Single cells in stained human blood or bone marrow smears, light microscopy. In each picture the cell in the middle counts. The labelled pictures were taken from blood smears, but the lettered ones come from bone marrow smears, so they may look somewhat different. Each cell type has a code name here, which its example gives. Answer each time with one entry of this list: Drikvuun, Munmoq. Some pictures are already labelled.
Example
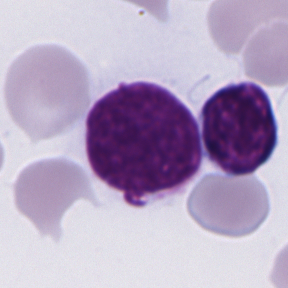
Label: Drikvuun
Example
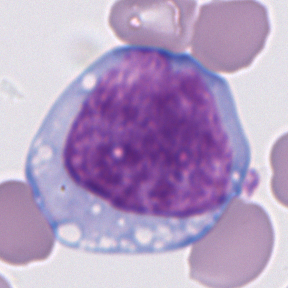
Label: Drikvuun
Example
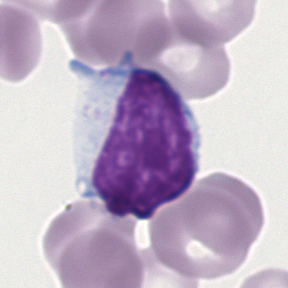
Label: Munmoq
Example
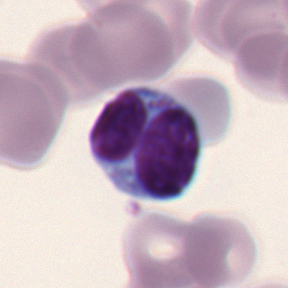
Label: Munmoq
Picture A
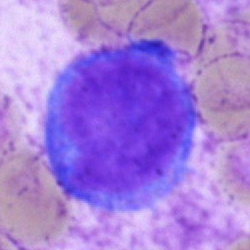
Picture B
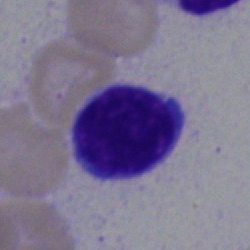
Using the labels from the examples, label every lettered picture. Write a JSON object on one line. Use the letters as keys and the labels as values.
{"A": "Drikvuun", "B": "Munmoq"}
